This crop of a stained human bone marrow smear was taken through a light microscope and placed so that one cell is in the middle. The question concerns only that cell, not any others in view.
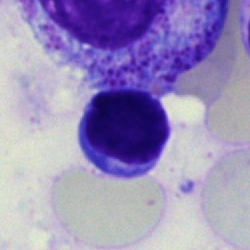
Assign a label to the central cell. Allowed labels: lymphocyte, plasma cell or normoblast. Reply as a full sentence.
The middle of this crop holds a lymphocyte.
